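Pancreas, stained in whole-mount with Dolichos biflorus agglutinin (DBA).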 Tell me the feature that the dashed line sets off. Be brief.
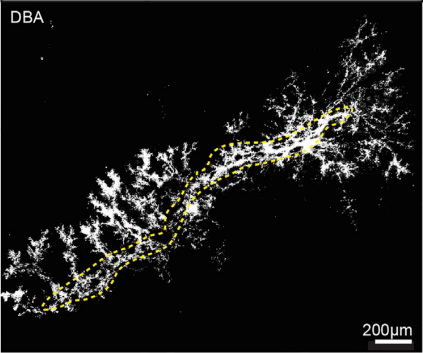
Central plexus.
